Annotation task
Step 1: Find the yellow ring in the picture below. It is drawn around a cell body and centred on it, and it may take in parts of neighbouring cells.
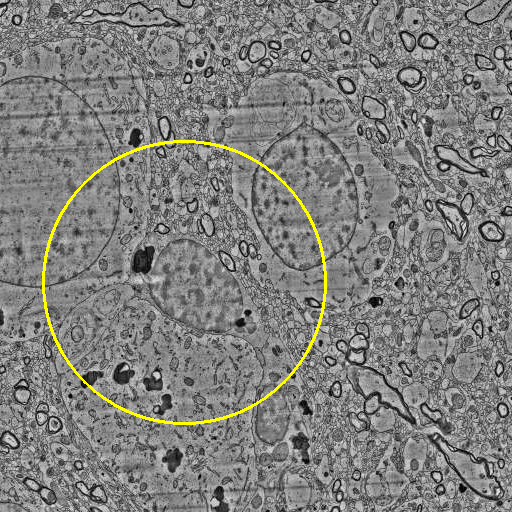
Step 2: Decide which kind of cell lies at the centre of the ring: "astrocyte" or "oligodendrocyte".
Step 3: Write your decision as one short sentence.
The kind of cell at the ring's centre is an oligodendrocyte.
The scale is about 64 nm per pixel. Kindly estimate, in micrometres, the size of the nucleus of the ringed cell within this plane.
The ringed cell's nucleus is about 7 micrometres long and 5 micrometres wide in this plane.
